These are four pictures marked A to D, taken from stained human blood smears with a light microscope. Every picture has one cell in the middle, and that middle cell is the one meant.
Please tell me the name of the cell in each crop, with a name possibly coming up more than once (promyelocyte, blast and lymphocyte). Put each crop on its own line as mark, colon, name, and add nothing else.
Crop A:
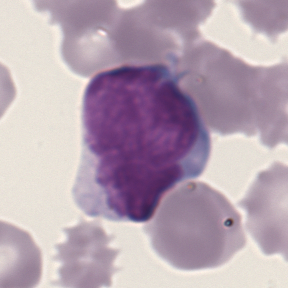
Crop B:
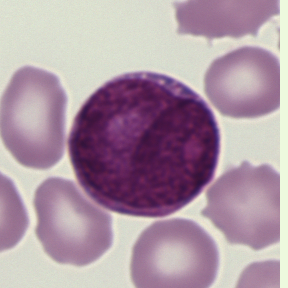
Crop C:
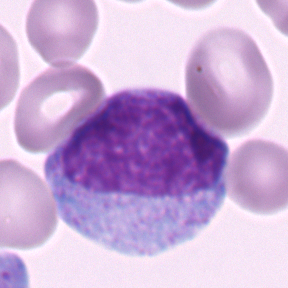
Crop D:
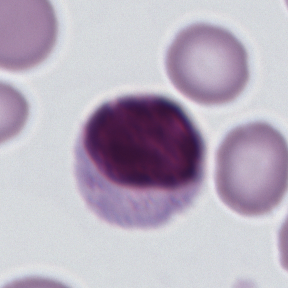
A: blast
B: blast
C: promyelocyte
D: lymphocyte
